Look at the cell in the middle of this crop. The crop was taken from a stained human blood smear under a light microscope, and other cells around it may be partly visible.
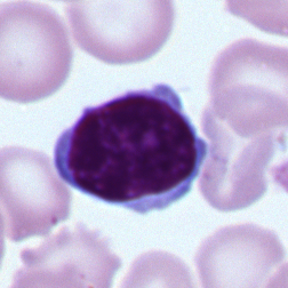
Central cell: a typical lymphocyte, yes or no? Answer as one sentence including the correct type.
Yes, the cell at the crop's center is a typical lymphocyte.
